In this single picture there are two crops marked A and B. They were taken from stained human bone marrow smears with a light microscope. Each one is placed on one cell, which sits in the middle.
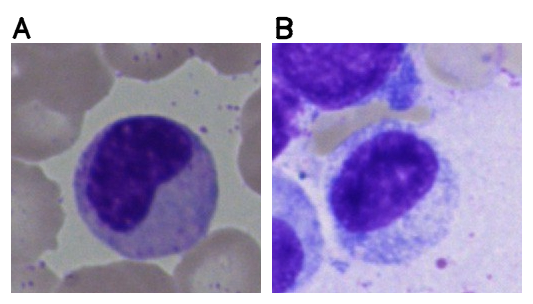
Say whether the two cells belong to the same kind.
no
